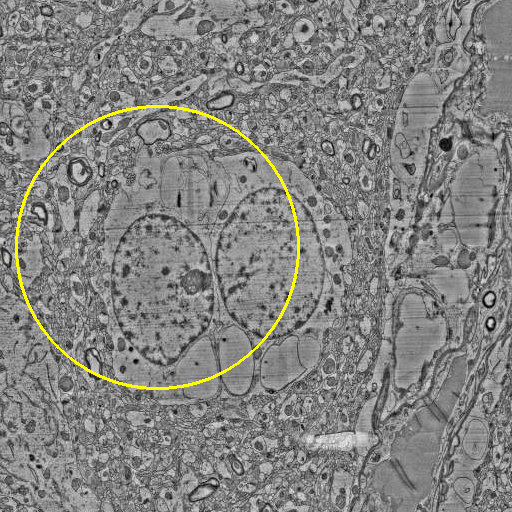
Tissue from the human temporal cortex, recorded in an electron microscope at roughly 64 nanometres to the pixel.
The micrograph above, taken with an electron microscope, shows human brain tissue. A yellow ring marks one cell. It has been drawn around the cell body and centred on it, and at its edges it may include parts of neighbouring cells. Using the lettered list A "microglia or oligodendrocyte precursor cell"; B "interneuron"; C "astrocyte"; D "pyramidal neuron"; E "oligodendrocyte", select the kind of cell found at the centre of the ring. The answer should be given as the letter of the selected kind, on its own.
C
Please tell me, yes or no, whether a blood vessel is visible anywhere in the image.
Yes, the picture includes a blood vessel.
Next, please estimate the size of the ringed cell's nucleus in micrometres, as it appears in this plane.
In this plane the nucleus measures roughly 10 by 7 micrometers.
